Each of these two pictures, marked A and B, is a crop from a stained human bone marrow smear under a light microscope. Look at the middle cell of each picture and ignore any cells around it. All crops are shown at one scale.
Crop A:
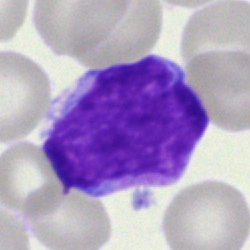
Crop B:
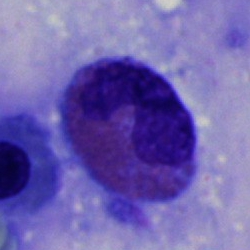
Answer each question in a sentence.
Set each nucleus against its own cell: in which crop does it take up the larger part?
It is the cell in crop A that is filled more by its nucleus.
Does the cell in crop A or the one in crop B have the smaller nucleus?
The nucleus in crop B is smaller; the one in crop A has about 2 times its area.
